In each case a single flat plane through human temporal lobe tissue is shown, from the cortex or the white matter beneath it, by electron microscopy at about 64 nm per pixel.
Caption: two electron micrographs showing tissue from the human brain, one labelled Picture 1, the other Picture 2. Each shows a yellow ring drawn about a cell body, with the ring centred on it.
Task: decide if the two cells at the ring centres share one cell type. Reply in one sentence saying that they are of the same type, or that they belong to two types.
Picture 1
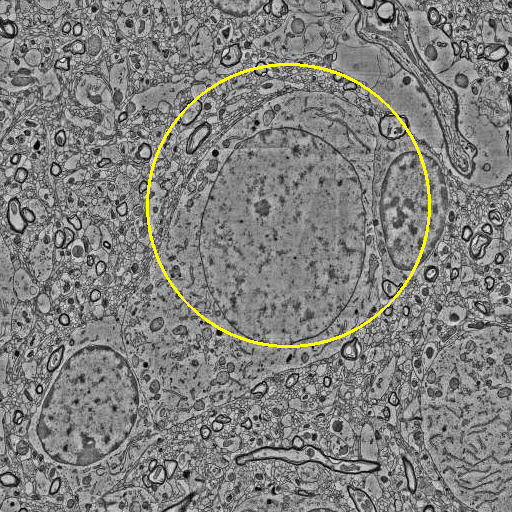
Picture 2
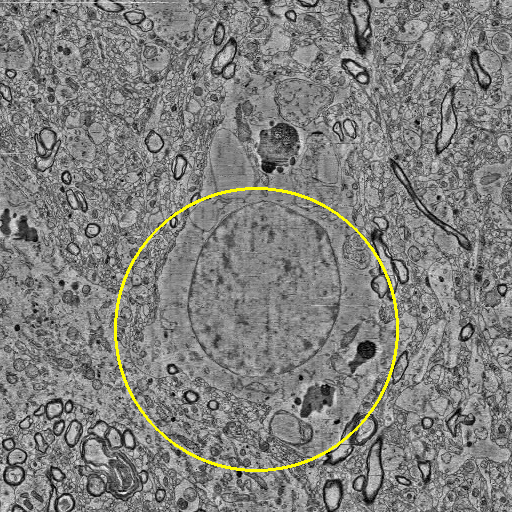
The cells at the ring centres in Picture 1 and Picture 2 belong to two types.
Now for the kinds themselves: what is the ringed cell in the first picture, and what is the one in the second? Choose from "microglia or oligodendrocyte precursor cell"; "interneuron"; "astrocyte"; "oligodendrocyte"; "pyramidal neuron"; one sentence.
Here the first cell is a pyramidal neuron and the second cell is an astrocyte.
